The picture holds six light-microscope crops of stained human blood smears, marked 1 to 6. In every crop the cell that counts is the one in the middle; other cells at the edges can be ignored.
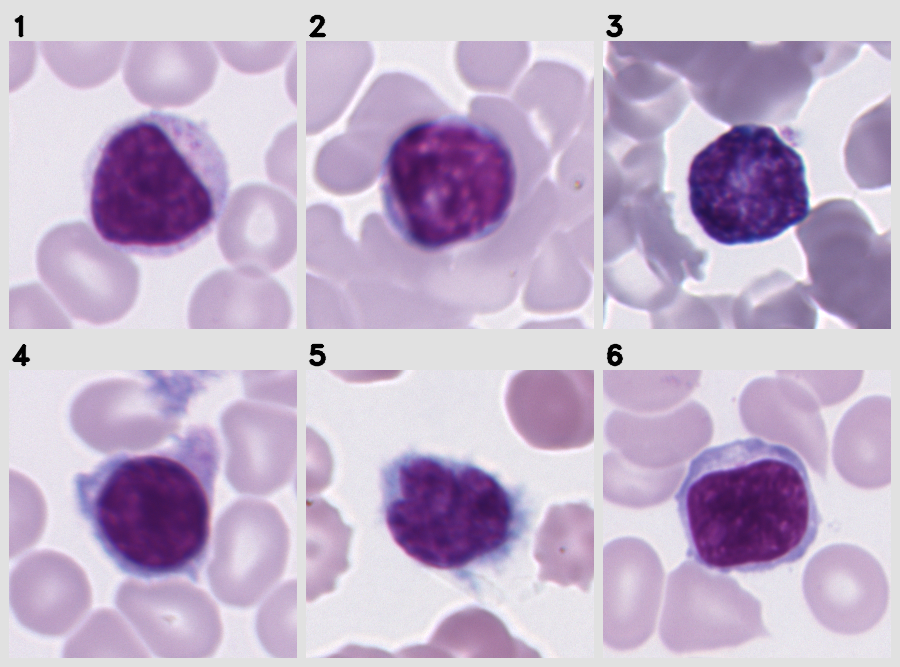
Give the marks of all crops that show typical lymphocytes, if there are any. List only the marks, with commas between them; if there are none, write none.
2, 3, 4, 6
